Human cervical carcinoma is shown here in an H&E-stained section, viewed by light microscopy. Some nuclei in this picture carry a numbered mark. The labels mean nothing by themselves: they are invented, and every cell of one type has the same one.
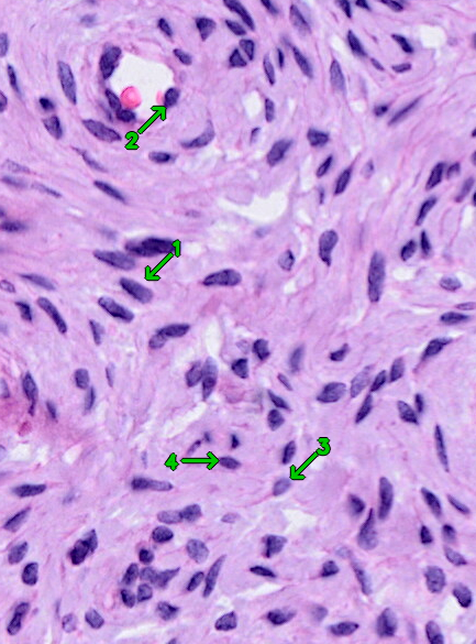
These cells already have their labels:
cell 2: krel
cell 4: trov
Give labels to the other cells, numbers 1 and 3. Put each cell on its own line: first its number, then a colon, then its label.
1: trov
3: trov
